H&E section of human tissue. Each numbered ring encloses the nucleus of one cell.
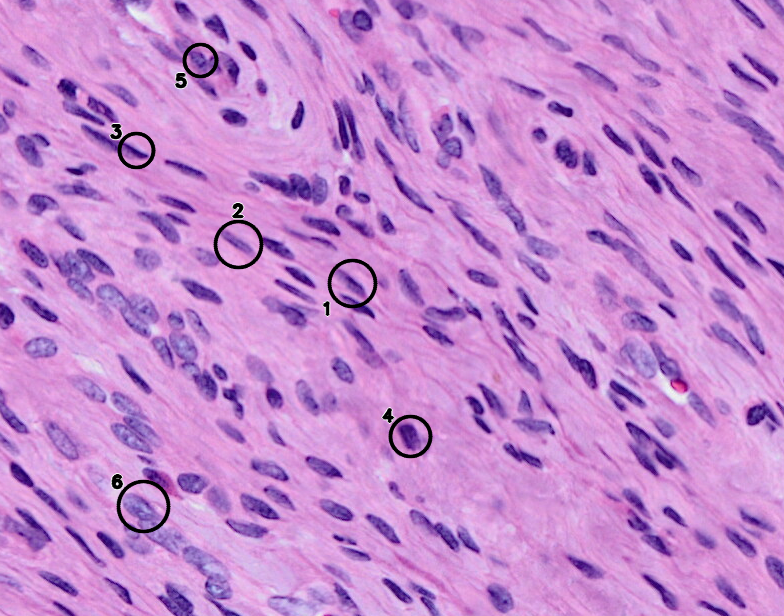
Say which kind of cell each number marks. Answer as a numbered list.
1. fibroblast
2. fibroblast
3. fibroblast
4. lymphocyte
5. endothelial cell
6. endothelial cell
